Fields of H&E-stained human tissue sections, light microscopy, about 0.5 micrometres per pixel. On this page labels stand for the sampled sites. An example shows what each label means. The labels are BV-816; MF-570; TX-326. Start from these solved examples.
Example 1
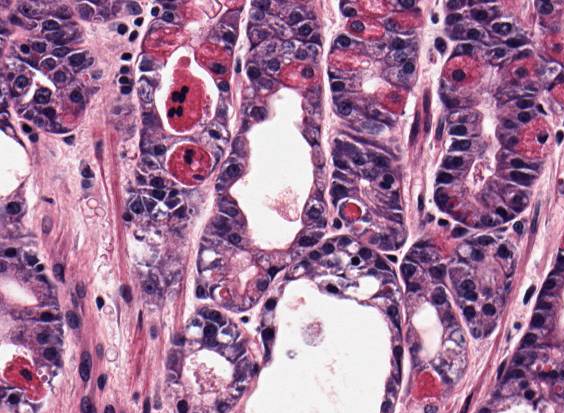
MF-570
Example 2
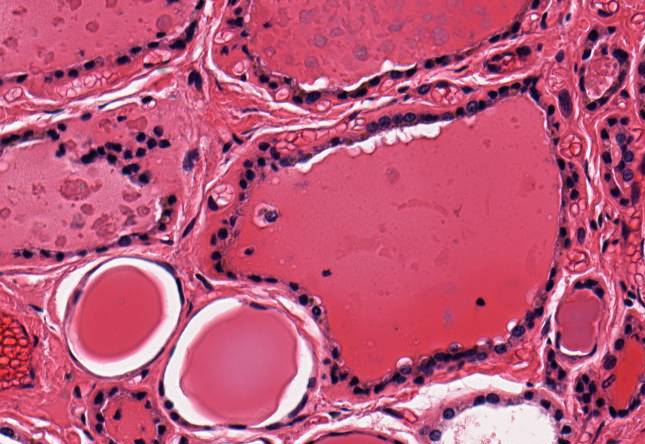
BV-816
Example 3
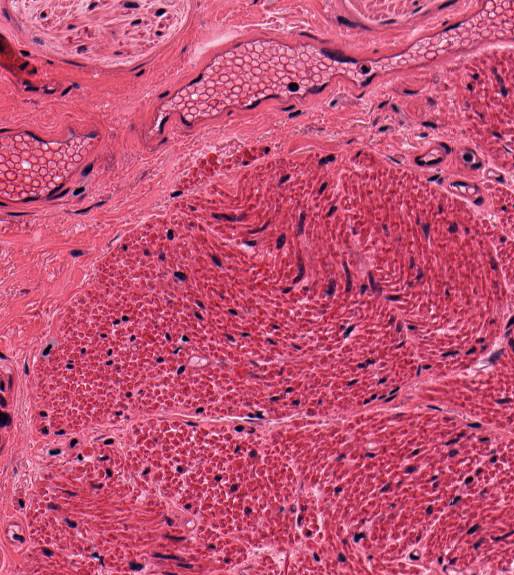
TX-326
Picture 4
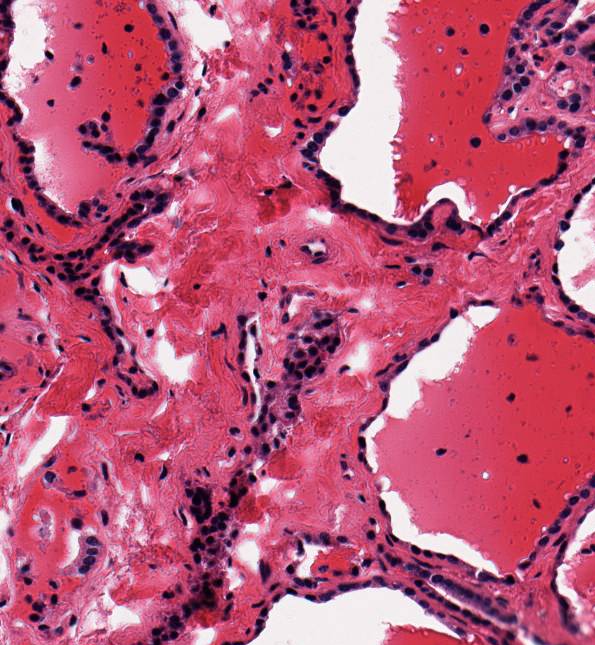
BV-816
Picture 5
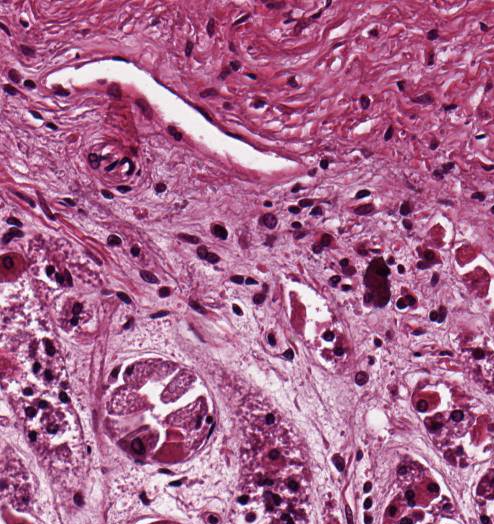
MF-570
